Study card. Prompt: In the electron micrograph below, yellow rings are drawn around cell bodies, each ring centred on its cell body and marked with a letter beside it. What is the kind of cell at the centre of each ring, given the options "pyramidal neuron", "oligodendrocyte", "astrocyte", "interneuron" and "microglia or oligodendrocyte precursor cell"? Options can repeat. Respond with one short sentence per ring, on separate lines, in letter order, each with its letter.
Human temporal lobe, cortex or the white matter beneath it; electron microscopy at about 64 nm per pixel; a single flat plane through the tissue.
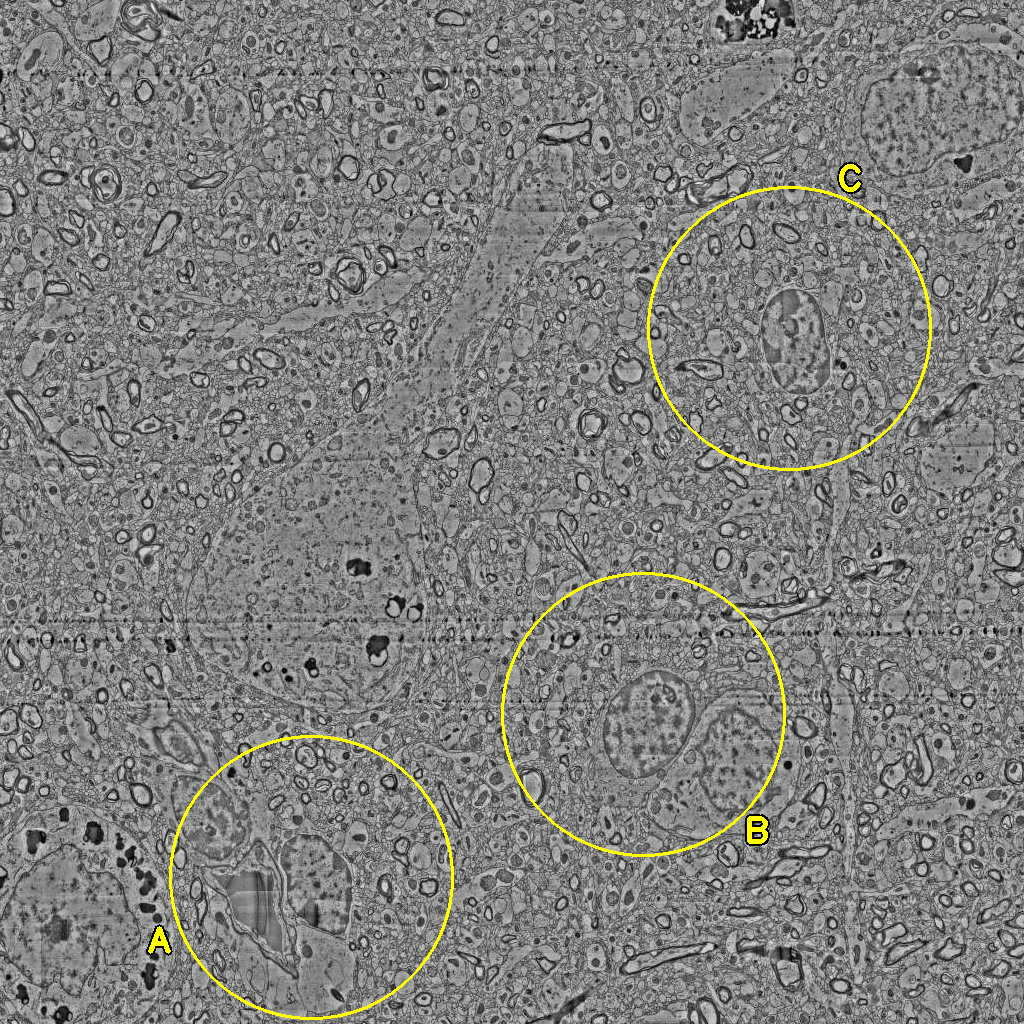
Ring A outlines a microglial cell or oligodendrocyte precursor cell.
Ring B outlines an oligodendrocyte.
Ring C outlines a microglial cell or oligodendrocyte precursor cell.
